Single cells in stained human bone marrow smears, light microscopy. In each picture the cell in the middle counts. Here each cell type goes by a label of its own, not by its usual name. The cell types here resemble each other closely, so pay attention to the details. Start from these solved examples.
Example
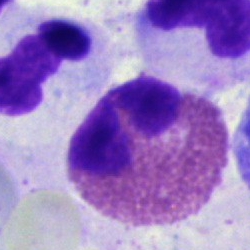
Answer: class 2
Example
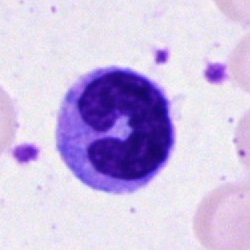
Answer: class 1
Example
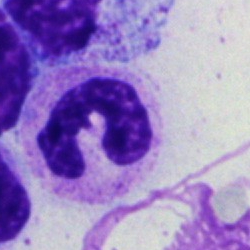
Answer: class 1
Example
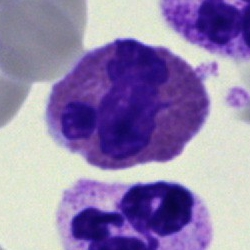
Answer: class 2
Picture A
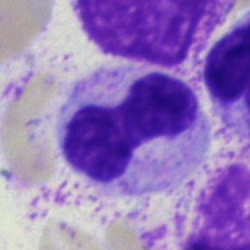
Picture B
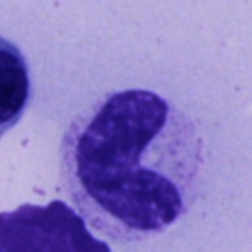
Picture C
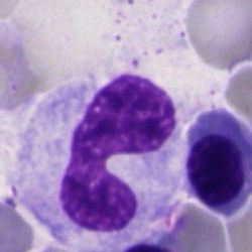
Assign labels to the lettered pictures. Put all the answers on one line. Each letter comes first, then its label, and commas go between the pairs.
A class 1, B class 1, C class 1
